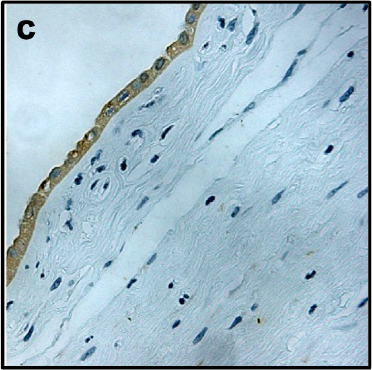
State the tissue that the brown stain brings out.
Epithelial layer.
